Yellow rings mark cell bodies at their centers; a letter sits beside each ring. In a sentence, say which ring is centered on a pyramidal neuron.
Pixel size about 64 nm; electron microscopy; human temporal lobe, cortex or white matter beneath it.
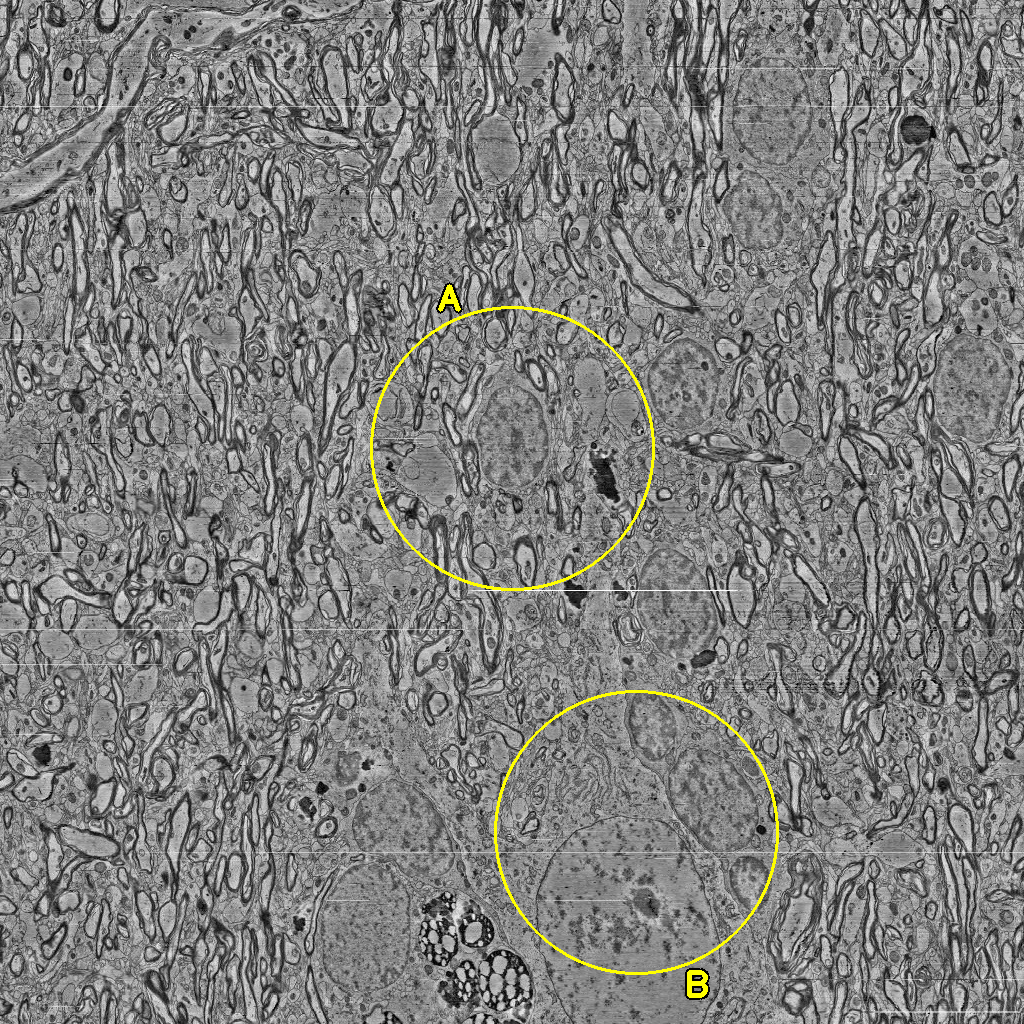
It is ring B.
